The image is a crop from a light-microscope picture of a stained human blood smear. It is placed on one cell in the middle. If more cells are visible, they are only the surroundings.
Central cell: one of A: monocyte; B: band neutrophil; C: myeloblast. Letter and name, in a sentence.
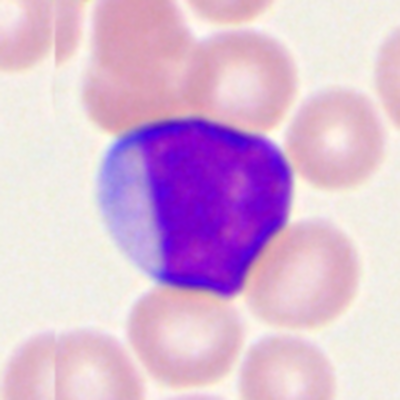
Option C is the correct selection, for the cell at the centre is a myeloblast.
